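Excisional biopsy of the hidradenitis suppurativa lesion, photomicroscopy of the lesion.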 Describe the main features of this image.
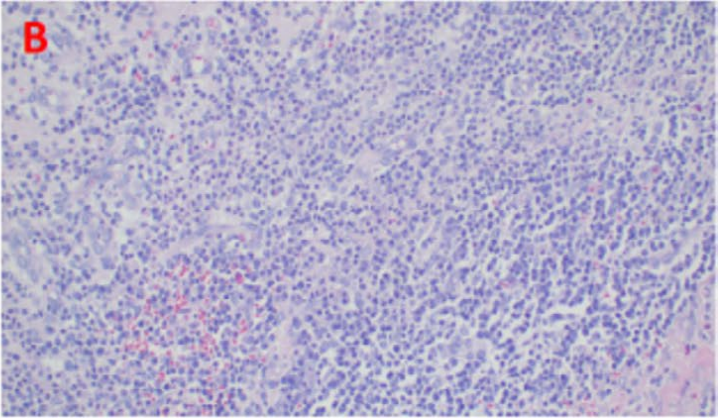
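This field is a neutrophilic abscess, packed almost entirely with inflammatory cells. A small cluster of red blood cells sits toward the lower left among them. Only faint pale strands of background tissue remain between the cells, with no organized normal structure left.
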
